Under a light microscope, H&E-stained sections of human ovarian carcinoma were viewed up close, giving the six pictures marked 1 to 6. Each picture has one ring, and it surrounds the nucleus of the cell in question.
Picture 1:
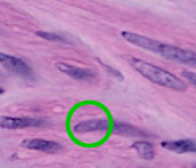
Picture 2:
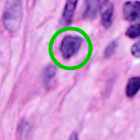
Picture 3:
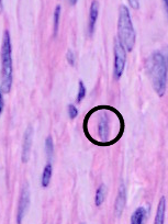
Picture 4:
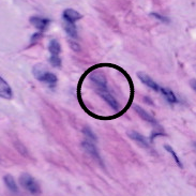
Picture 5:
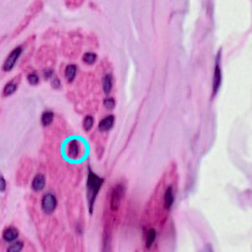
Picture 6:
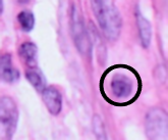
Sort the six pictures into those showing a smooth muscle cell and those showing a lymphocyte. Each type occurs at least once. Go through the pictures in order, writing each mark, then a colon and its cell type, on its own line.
1: smooth muscle cell
2: lymphocyte
3: smooth muscle cell
4: smooth muscle cell
5: smooth muscle cell
6: lymphocyte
